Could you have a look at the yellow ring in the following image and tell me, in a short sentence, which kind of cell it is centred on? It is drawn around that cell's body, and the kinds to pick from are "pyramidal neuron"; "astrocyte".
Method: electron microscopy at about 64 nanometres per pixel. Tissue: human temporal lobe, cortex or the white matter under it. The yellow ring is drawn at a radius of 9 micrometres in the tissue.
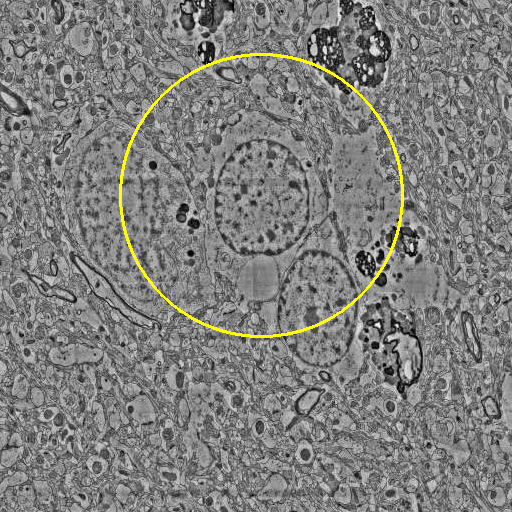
The ring is centred on the body of an astrocyte.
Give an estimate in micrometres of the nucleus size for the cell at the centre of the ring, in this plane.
Approximately 7 micrometres long and 6 micrometres wide, in this plane.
